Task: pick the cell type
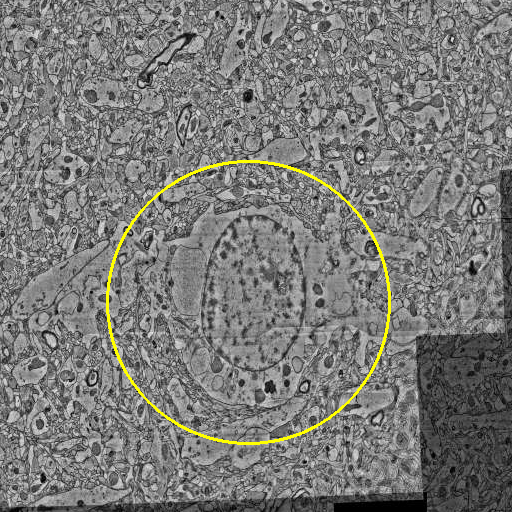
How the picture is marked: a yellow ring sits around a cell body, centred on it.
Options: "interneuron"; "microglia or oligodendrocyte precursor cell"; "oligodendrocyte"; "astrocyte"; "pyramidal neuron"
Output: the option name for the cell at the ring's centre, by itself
astrocyte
